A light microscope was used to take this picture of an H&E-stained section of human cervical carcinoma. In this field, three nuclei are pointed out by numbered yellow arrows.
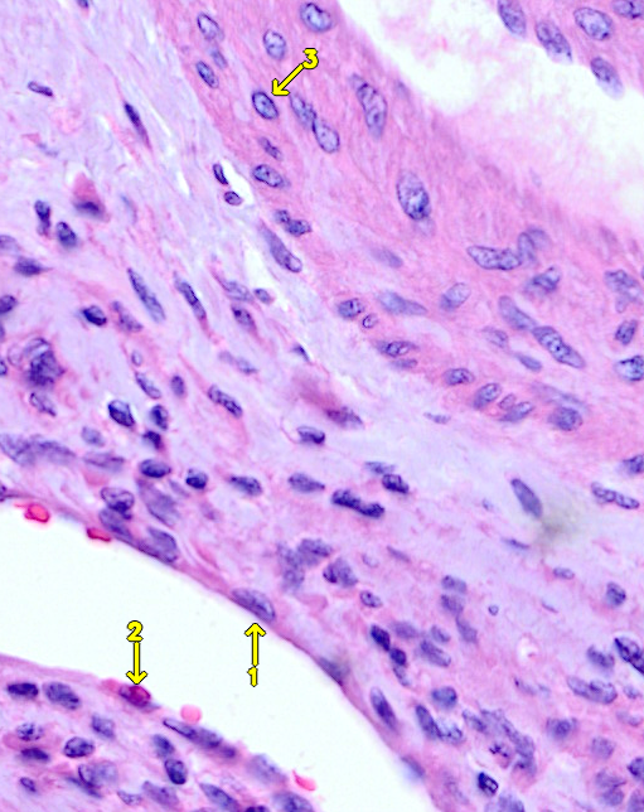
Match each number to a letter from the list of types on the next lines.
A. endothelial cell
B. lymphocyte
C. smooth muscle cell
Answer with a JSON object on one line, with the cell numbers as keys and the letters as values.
{"1": "A", "2": "A", "3": "C"}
